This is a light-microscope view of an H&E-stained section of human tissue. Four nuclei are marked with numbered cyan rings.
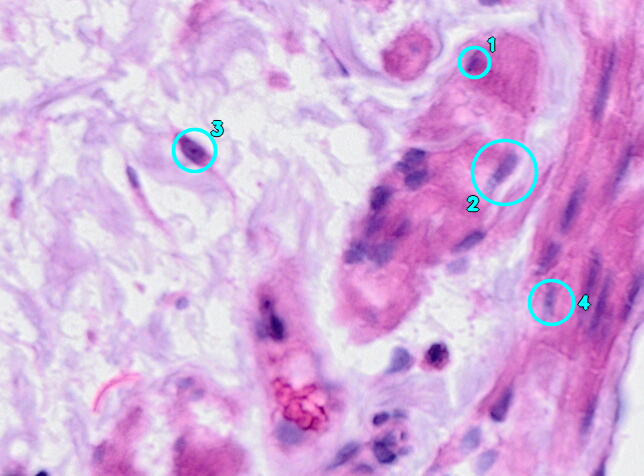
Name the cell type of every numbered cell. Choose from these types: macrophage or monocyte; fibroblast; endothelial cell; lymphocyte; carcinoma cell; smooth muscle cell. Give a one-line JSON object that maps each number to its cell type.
{"1": "smooth muscle cell", "2": "smooth muscle cell", "3": "fibroblast", "4": "smooth muscle cell"}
